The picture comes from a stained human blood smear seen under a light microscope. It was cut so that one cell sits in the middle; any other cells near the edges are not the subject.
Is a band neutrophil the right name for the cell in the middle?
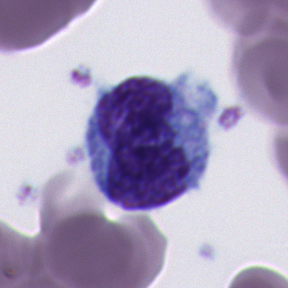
no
